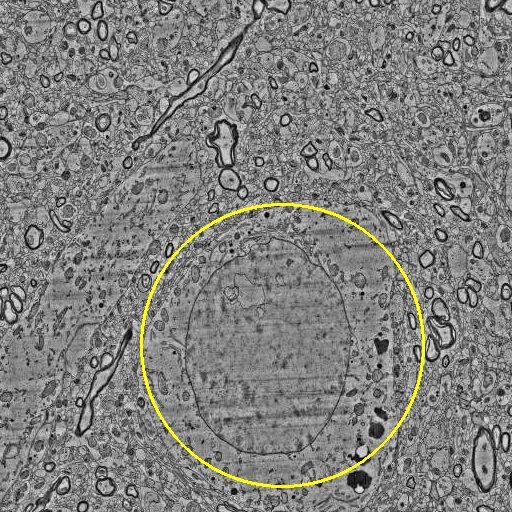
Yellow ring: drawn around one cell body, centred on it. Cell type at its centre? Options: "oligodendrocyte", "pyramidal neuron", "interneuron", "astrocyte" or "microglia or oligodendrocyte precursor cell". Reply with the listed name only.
pyramidal neuron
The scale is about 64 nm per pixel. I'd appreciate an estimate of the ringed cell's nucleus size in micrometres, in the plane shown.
About 13 micrometres by about 11 micrometres in this plane.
